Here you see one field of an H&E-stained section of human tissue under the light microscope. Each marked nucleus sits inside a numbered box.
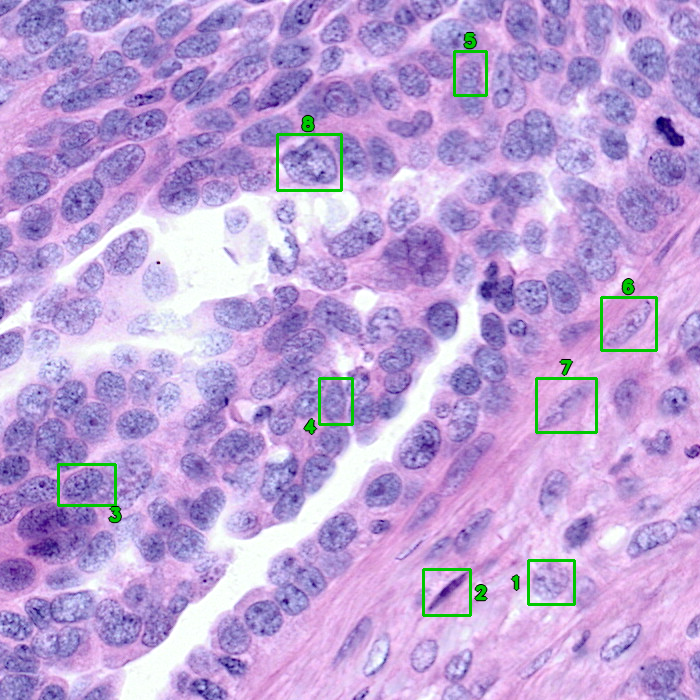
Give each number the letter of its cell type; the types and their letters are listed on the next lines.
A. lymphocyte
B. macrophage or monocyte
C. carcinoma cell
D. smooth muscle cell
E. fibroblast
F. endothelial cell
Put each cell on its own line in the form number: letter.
1: E
2: E
3: C
4: C
5: C
6: E
7: E
8: C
